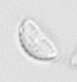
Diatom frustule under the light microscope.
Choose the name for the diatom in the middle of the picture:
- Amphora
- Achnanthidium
Amphora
